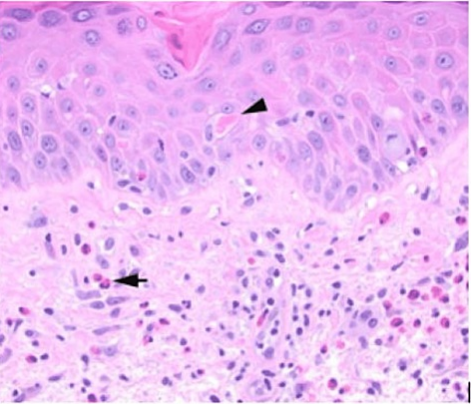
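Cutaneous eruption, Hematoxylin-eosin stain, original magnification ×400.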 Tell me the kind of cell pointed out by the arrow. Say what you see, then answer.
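Eosinophils. The arrow points to a cell in the dermis below the epidermis. The marked cell has bright red-pink cytoplasm. Several similar bright pink cells are scattered in the dermis.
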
